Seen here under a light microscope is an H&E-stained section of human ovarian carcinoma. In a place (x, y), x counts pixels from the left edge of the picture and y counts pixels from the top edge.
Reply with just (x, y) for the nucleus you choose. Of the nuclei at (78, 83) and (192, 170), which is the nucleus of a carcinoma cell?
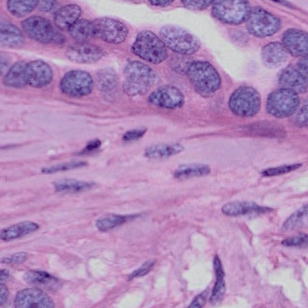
(78, 83)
